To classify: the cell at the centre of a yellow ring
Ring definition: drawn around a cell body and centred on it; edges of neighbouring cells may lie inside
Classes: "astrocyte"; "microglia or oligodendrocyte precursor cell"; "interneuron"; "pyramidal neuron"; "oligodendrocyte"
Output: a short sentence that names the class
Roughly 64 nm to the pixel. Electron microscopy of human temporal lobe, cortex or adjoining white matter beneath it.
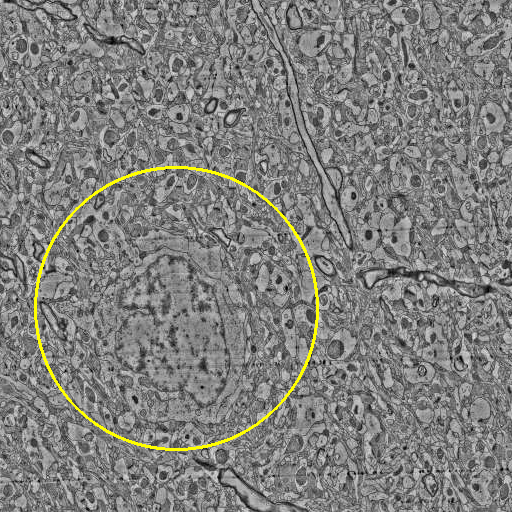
The ringed cell is an interneuron.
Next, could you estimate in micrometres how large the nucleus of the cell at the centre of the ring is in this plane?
Roughly 10 by 7 micrometres is the size of the nucleus in this plane.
